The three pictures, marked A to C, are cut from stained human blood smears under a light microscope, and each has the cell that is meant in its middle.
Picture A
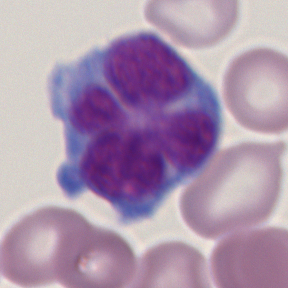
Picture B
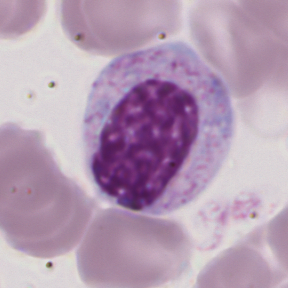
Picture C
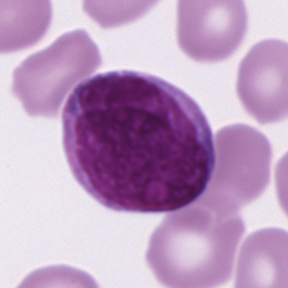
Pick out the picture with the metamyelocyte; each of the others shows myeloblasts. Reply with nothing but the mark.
B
